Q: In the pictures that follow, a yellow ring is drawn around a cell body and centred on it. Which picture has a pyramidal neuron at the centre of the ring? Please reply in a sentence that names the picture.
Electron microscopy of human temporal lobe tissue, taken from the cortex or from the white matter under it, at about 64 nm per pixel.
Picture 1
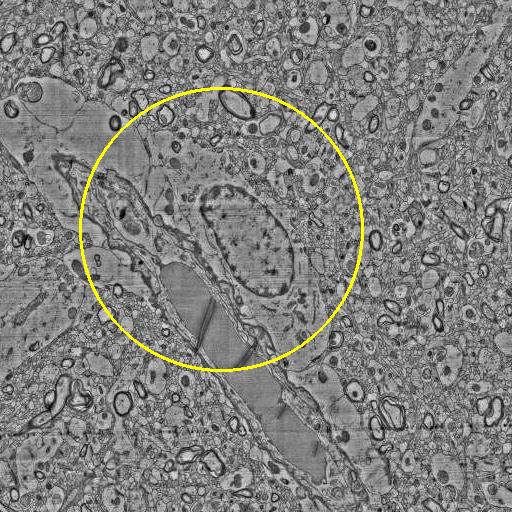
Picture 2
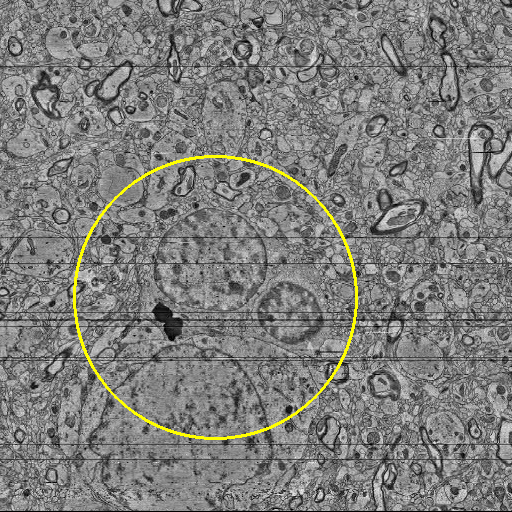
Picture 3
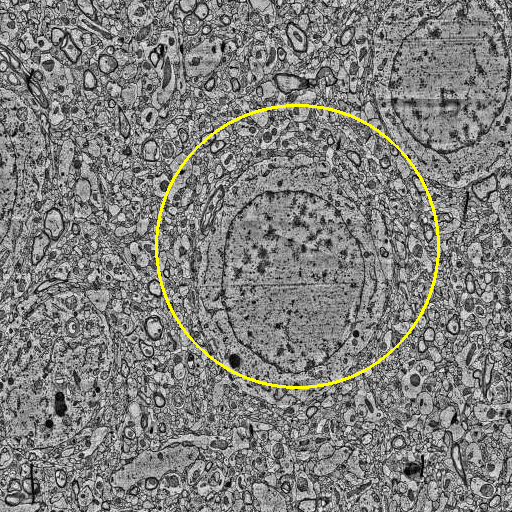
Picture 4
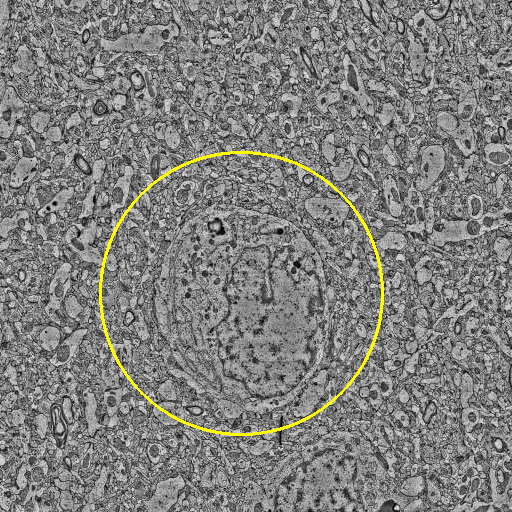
Picture 3 shows it at the centre of its ring.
